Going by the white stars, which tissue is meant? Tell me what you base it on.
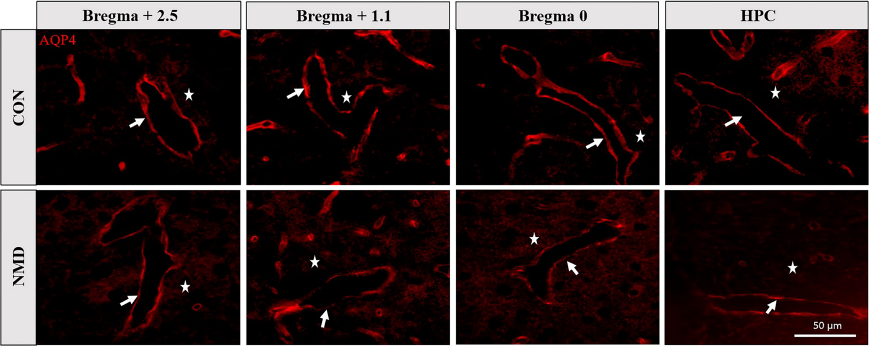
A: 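Parenchyma. Each star lies in the dim, finely granular area between the bright tubular profiles.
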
